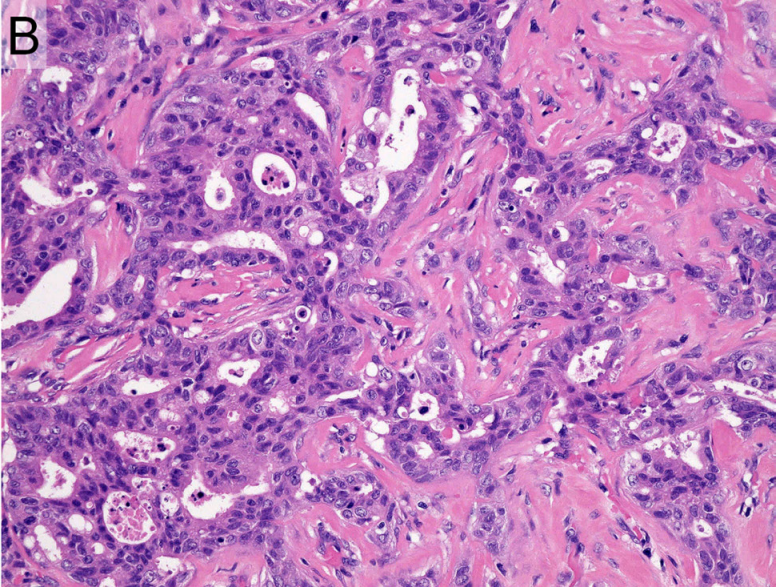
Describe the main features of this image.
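This is infiltrating carcinoma forming small tubules and cribriform clusters within dense, pink collagenous stroma. The tumour cells have large, dark, pleomorphic nuclei, some with prominent nucleoli, and a moderate amount of pink cytoplasm. Many small glandular lumens are open, and some contain cell debris. The abundant fibrous stroma between the tumour cords gives a scirrhous appearance.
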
